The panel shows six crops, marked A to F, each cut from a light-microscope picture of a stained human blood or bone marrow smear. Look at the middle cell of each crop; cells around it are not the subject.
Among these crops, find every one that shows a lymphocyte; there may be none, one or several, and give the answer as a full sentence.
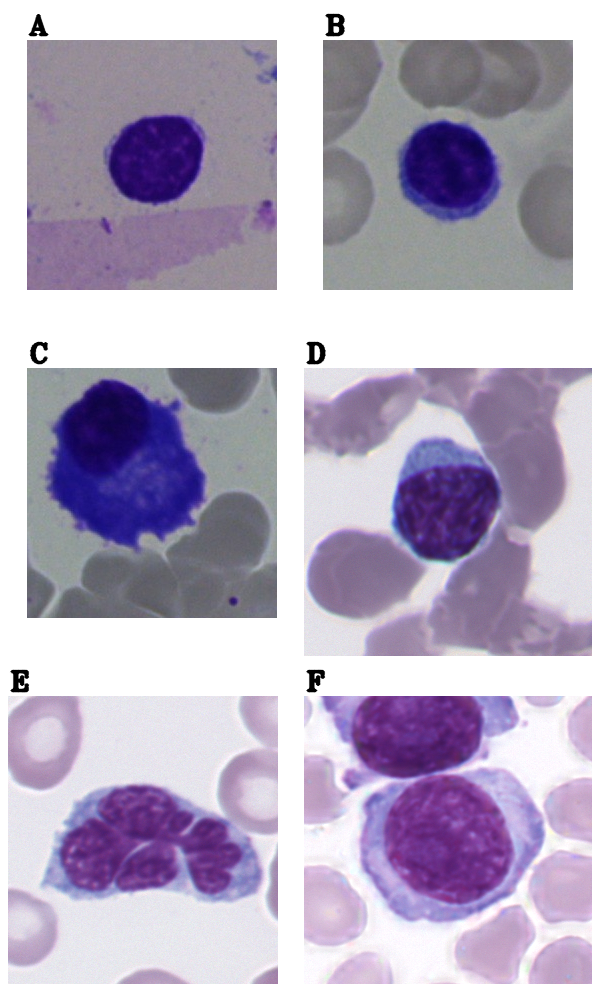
Crops A, B and D present lymphocytes as their central cells.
